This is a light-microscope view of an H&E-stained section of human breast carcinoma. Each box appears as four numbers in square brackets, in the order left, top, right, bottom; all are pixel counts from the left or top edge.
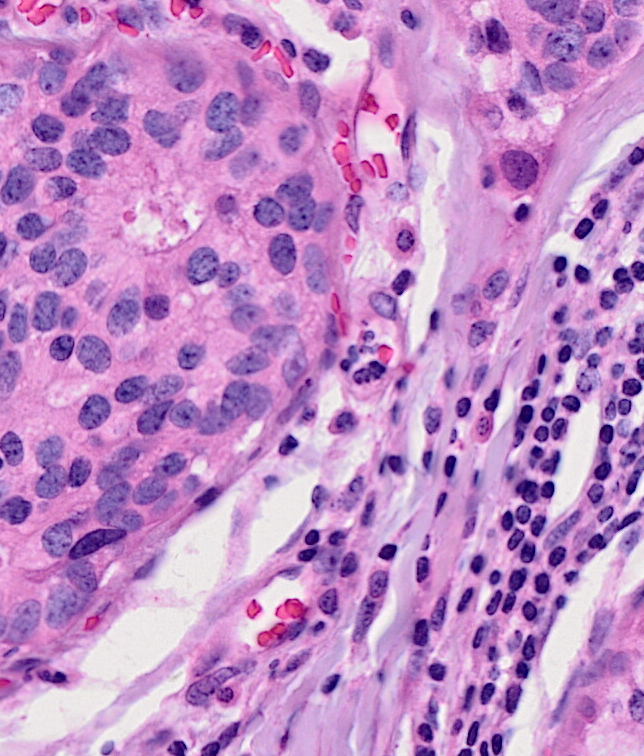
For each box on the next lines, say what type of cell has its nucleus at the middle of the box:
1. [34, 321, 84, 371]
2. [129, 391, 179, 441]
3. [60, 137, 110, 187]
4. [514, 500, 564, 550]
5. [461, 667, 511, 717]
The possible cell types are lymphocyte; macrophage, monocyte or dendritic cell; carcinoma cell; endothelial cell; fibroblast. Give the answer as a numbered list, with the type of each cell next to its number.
1. carcinoma cell
2. carcinoma cell
3. carcinoma cell
4. lymphocyte
5. lymphocyte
